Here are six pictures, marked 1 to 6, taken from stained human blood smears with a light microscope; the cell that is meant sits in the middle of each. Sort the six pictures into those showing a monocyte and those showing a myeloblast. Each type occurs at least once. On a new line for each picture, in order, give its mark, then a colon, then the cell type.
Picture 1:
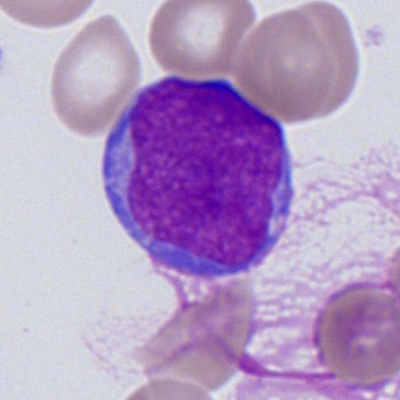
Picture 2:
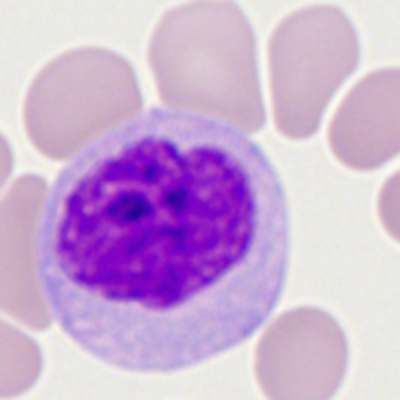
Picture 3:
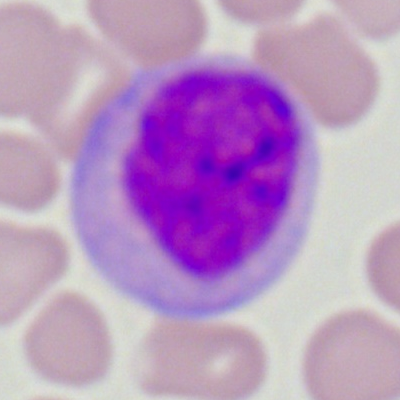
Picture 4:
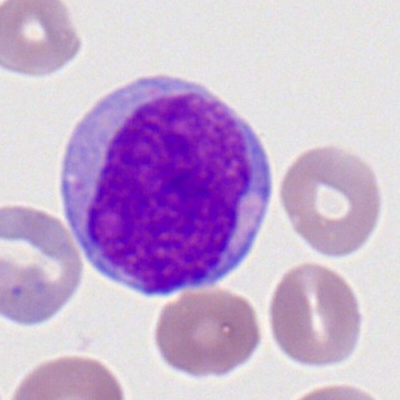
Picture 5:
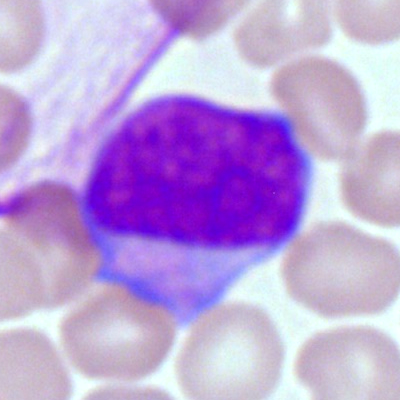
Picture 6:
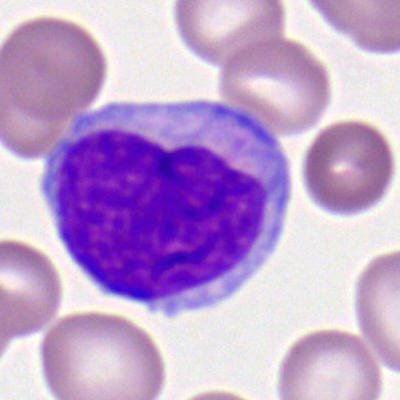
1: myeloblast
2: monocyte
3: monocyte
4: myeloblast
5: myeloblast
6: myeloblast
